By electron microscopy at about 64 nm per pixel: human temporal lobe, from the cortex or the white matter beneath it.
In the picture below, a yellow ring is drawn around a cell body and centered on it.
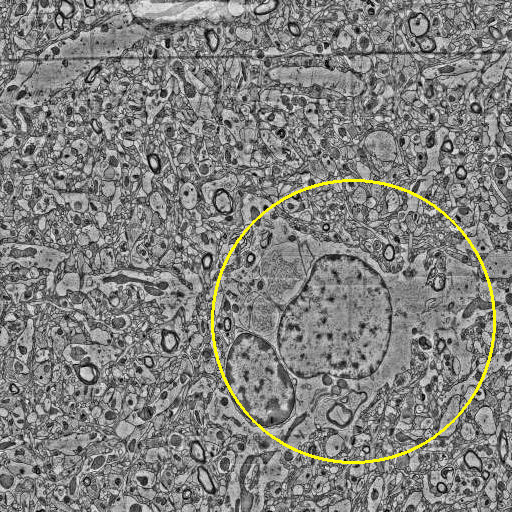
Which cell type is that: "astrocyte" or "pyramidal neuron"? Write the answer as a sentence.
The cell centered in the ring is an astrocyte.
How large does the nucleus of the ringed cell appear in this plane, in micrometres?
The nucleus appears roughly 9 by 7 micrometres in this plane.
